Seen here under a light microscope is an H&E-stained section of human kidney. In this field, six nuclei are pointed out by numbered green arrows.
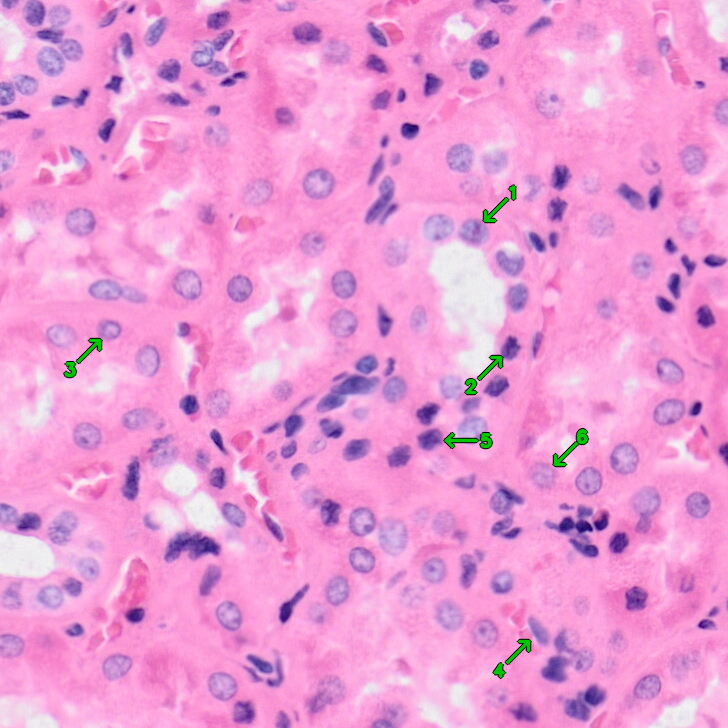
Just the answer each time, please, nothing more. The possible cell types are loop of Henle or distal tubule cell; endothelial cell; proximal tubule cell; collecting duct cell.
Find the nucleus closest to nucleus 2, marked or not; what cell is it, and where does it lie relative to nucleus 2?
an endothelial cell, to the right of nucleus 2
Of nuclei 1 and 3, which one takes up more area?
1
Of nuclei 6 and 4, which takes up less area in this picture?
4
